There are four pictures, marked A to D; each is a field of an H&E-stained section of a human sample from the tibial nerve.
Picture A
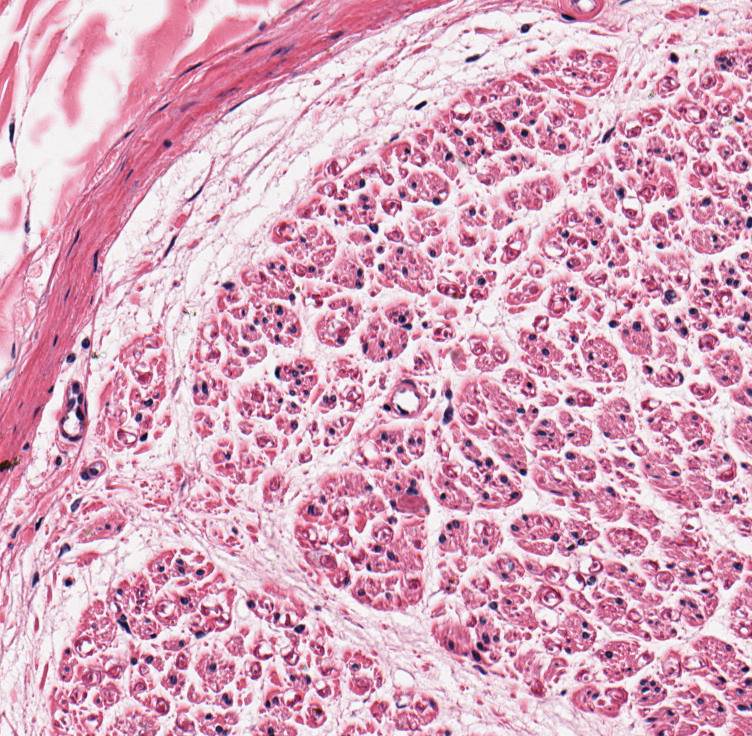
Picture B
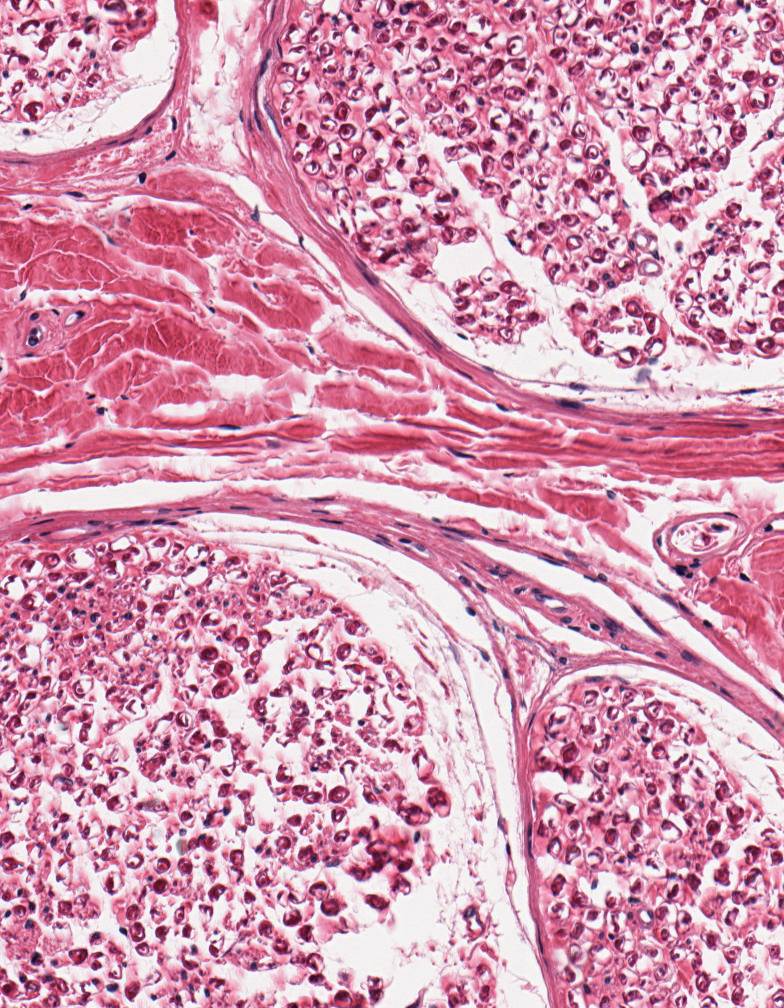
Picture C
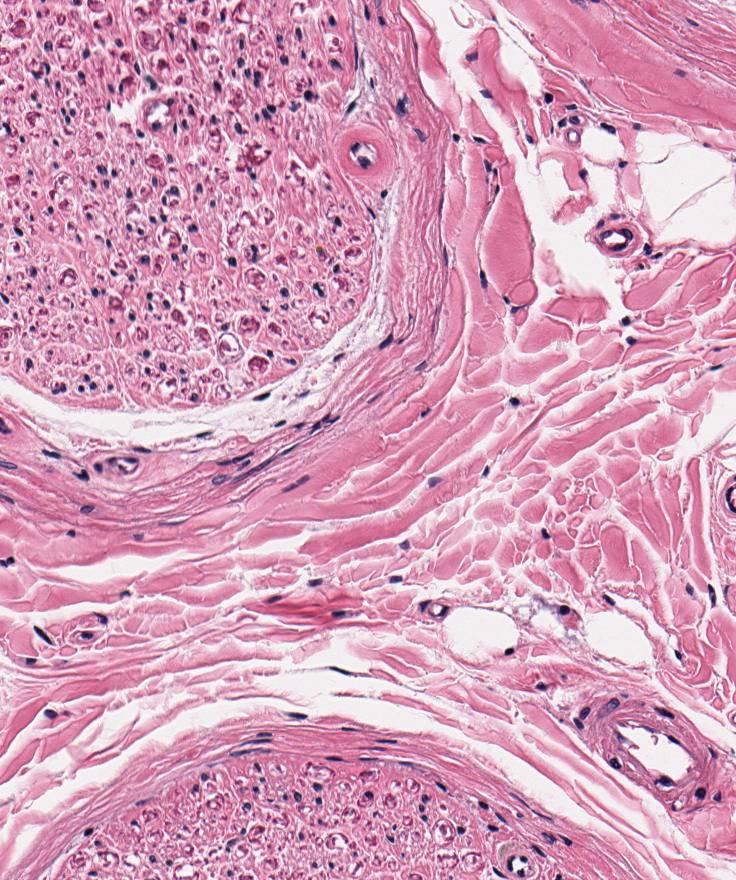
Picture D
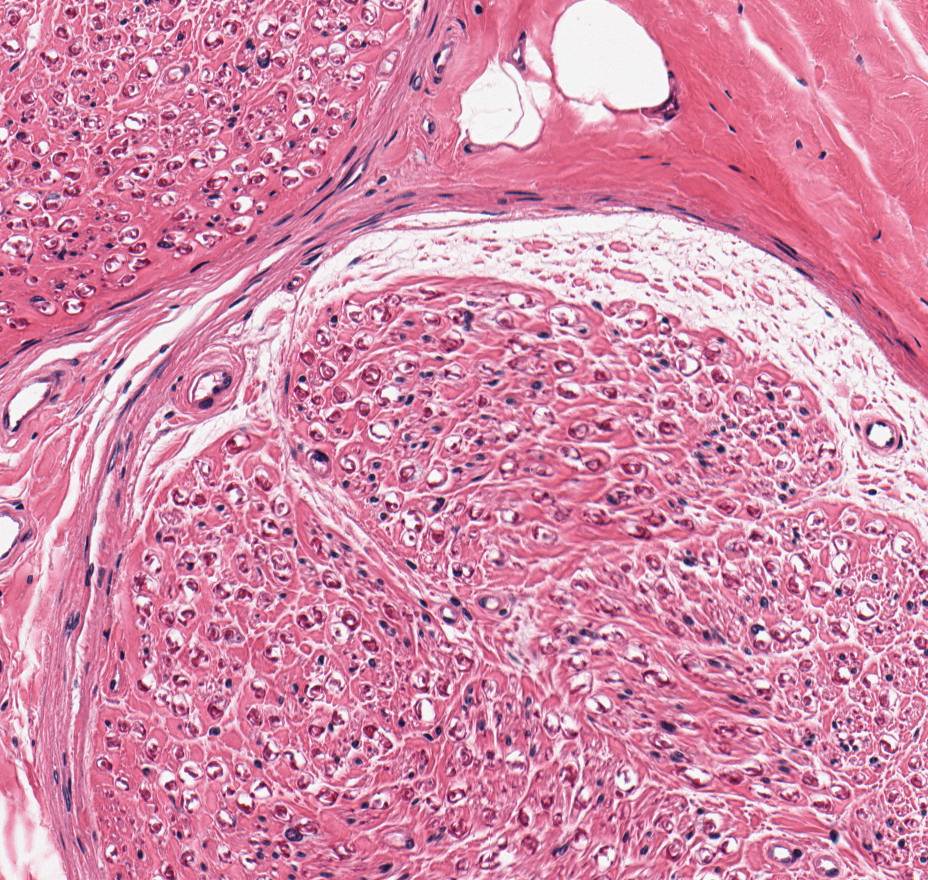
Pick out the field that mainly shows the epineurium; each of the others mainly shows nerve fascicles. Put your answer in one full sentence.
The one that mainly shows the epineurium is picture C.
